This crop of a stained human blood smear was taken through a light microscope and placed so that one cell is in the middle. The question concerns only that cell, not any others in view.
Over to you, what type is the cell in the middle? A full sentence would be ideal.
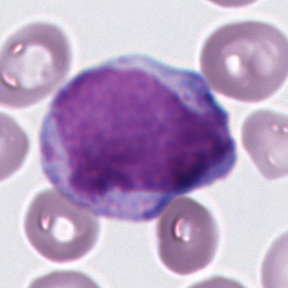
The cell at the centre of the field is an atypical promyelocyte.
